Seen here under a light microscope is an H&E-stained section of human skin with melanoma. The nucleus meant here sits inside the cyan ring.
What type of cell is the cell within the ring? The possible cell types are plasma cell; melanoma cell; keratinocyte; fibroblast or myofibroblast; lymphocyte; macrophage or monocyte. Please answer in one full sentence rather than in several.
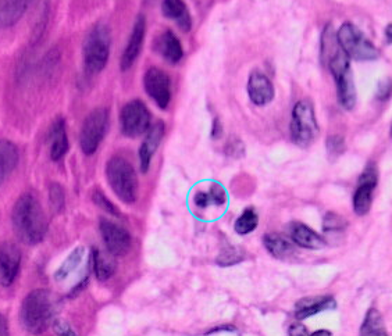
In cellular terms, the cell within the ring is a lymphocyte.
